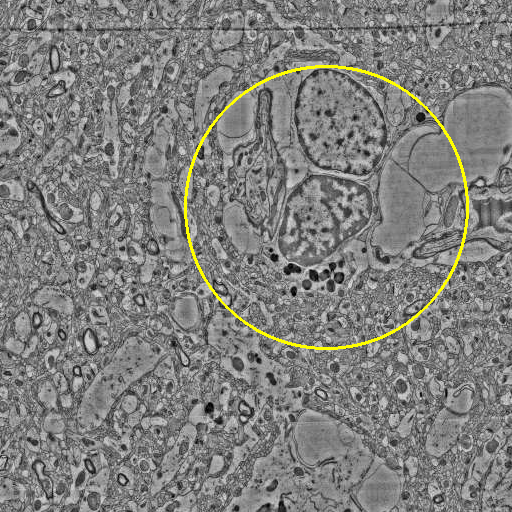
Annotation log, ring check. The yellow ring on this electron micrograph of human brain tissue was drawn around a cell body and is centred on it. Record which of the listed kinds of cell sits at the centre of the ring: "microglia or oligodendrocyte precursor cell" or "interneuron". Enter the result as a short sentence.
The cell at the centre of the ring is a microglial cell or oligodendrocyte precursor cell.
